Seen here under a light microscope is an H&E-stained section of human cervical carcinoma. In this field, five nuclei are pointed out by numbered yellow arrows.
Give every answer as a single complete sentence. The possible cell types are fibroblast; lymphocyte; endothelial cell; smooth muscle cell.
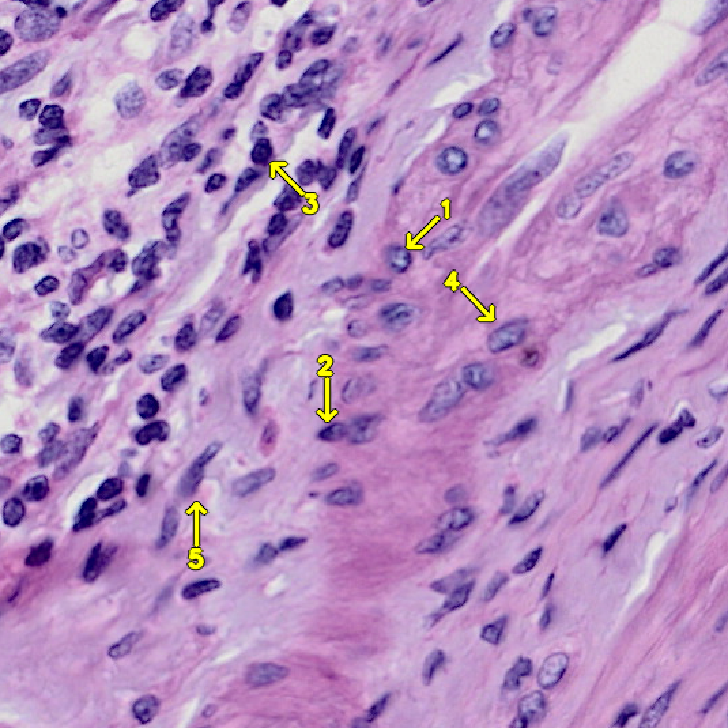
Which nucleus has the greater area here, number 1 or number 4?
Nucleus 4 covers more area, about 1.5 times as much as nucleus 1.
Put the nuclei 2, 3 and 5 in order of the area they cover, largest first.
Going from the biggest nucleus down to the smallest gives 5, 3, 2.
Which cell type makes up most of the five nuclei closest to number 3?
Of the five nuclei nearest to number 3, most belong to lymphocytes.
